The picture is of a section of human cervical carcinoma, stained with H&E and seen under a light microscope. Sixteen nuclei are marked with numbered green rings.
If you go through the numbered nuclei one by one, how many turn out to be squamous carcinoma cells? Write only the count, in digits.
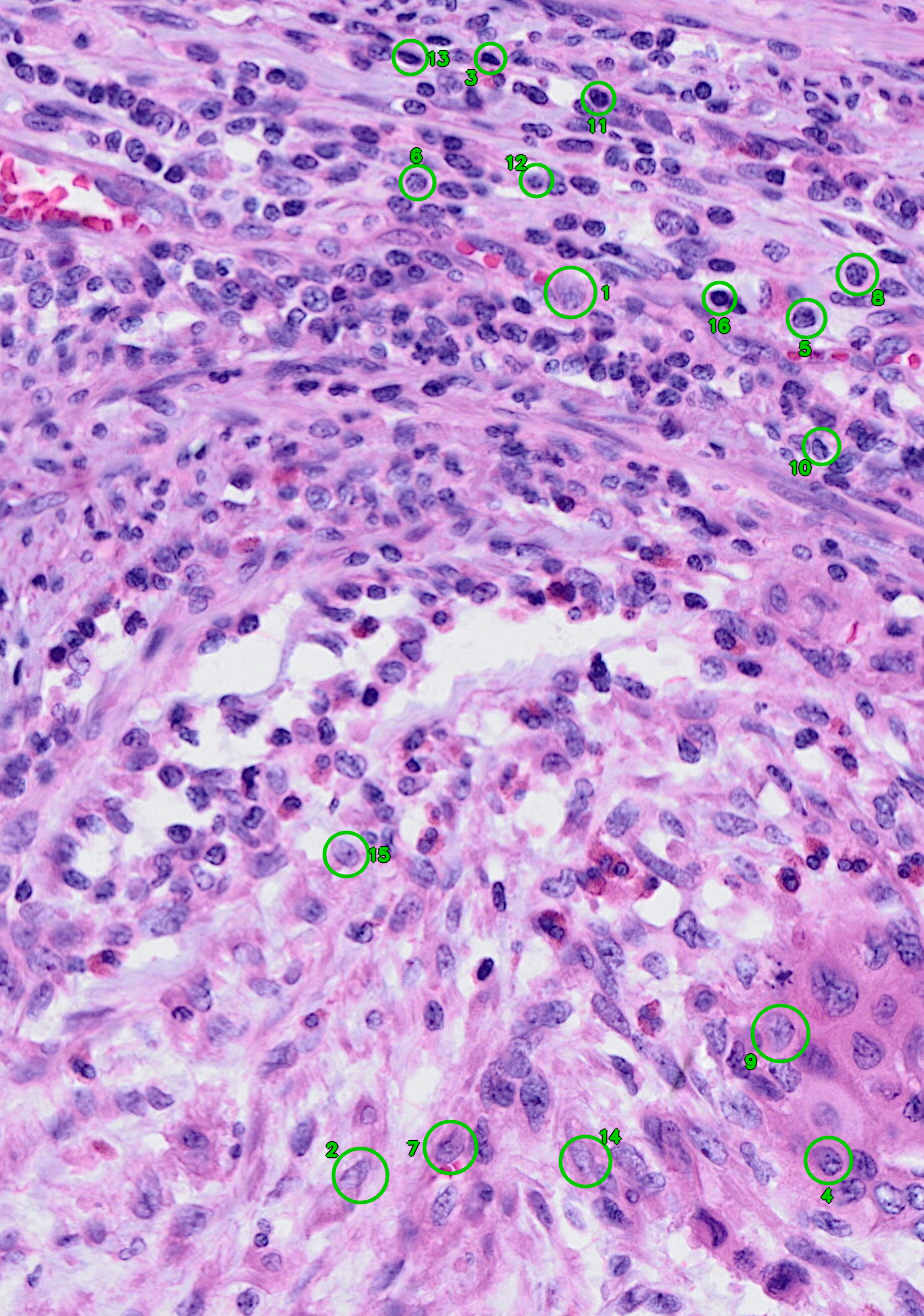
2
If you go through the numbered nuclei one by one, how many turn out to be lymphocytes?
9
